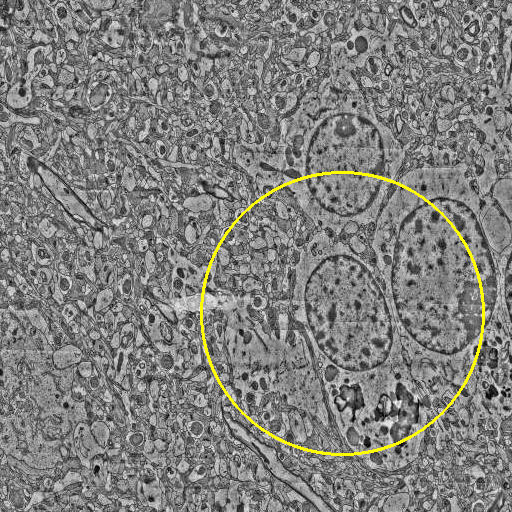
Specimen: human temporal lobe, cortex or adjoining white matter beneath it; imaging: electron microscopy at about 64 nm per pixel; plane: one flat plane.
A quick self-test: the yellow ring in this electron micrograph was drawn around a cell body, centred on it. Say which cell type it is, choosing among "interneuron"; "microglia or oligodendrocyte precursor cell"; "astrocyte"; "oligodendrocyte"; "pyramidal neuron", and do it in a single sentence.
The yellow-ringed cell is an astrocyte.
